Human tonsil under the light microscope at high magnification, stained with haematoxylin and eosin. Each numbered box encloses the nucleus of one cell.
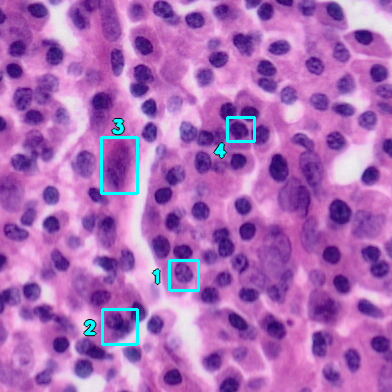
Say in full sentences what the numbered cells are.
Cell 1 is a plasma cell, cell 2 is a plasma cell, cell 3 is a squamous epithelial cell and cell 4 is a plasma cell.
